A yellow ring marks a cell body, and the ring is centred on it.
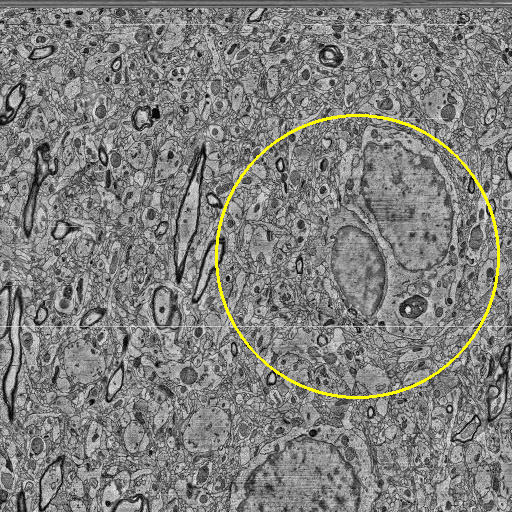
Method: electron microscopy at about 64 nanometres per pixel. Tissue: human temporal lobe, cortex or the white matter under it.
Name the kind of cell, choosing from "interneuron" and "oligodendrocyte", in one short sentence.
The marked cell body belongs to an oligodendrocyte.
